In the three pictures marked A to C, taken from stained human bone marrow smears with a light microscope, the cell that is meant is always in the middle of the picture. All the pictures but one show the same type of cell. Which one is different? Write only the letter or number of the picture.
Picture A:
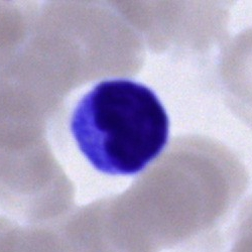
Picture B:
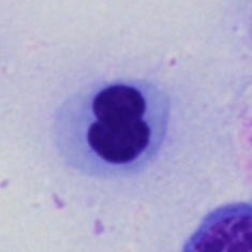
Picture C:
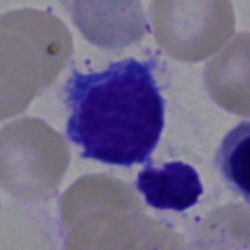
B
